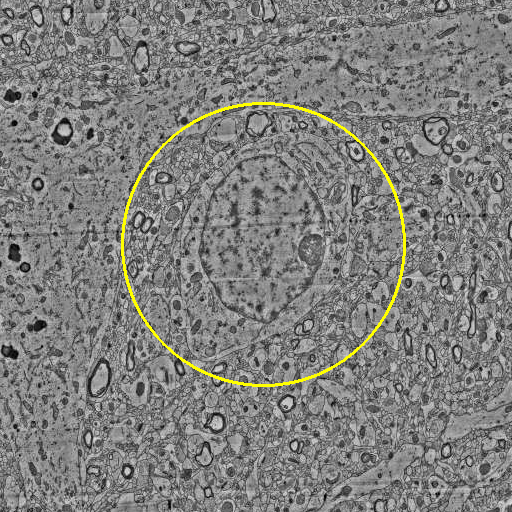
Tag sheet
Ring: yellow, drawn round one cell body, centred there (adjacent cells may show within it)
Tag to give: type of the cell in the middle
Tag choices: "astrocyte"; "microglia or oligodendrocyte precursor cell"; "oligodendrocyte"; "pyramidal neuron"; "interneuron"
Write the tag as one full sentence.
I tag the cell centred in the yellow ring as an interneuron in this picture.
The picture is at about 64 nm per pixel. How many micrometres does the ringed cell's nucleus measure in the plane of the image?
The nucleus of the ringed cell is approximately 11 by 8 micrometres in this plane.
